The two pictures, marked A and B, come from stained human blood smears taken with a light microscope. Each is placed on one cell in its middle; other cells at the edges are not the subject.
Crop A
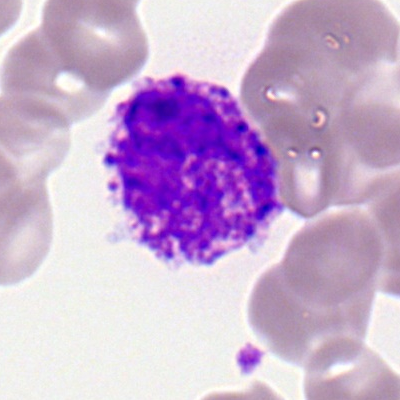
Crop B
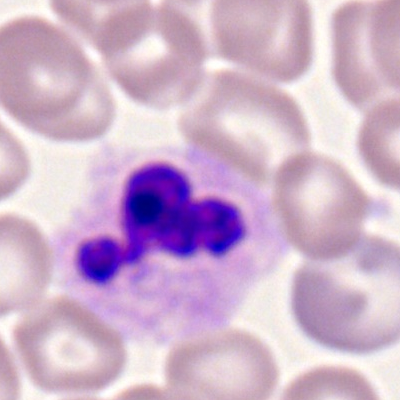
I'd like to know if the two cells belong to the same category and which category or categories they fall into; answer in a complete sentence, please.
No, a basophil is what occupies crop A, and a neutrophil is what occupies crop B.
